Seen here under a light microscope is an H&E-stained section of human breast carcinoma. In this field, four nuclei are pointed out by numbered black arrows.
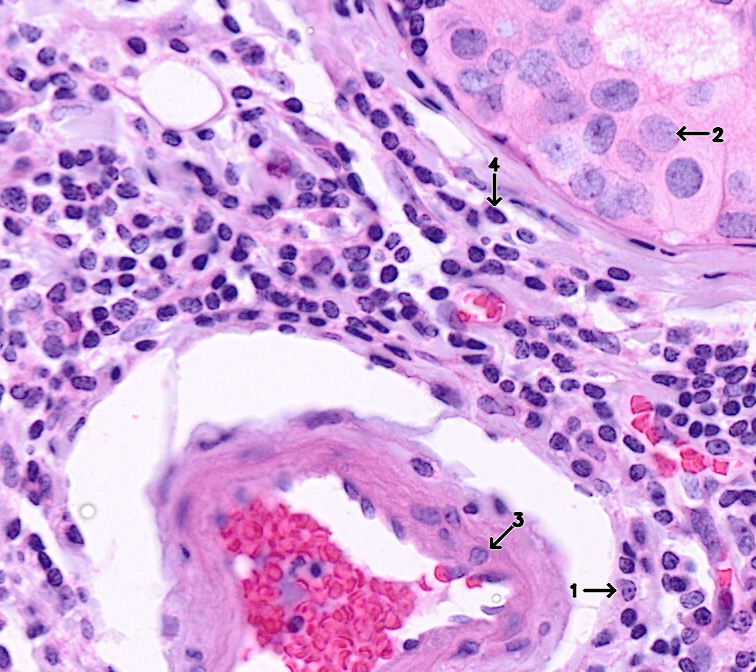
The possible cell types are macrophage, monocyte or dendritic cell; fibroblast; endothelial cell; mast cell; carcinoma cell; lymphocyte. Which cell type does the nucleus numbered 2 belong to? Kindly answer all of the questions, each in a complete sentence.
The cell that is numbered 2 is a carcinoma cell.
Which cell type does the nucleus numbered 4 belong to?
The cell that carries the label 4 is a lymphocyte.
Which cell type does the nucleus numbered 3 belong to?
Cell 3 in the field is an endothelial cell.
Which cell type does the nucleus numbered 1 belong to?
In this section, number 1 marks a lymphocyte.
